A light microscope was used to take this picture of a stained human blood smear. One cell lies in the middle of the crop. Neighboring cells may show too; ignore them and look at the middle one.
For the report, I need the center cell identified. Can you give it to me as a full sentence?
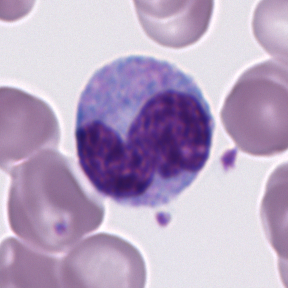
The cell at the middle of the frame should be recorded as a monocyte.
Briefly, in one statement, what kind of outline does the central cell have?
Smooth all around, the outline has no projections to report.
